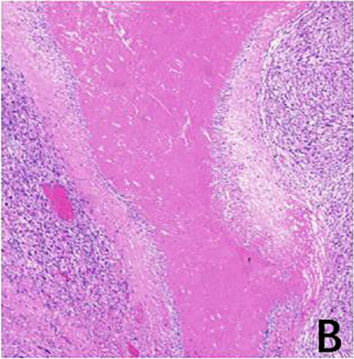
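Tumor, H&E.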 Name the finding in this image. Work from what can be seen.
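A broad central band is pink and almost without nuclei. Cellular tumor tissue with blue nuclei lies on either side of the pink zone. So: coagulative necrosis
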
